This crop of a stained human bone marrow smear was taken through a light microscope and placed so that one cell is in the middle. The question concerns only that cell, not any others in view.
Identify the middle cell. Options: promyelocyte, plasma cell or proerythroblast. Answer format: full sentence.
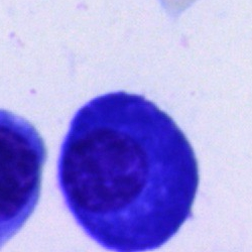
In the middle of this smear crop is a plasma cell.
